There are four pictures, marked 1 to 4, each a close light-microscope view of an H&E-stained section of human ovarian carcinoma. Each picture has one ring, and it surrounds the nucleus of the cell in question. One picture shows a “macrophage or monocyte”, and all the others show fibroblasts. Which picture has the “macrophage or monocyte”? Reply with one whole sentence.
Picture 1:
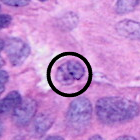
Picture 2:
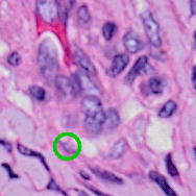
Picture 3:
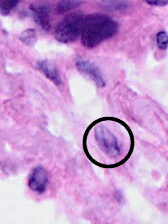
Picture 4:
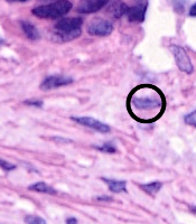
Picture 1 is the one that shows the “macrophage or monocyte”.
